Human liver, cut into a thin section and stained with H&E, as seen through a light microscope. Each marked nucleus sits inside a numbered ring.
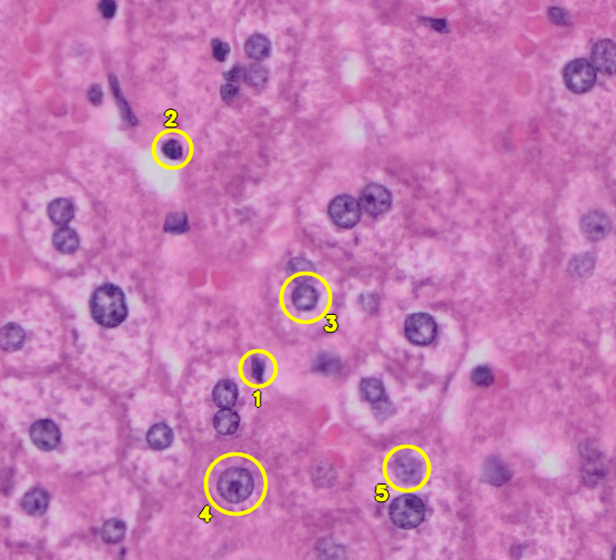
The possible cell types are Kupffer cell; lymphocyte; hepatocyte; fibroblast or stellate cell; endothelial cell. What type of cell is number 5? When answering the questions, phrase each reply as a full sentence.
Identified as a hepatocyte is the cell bearing the number 5.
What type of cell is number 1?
The cell carrying label 1 is identified as an endothelial cell.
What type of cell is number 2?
The numeral 2 marks a lymphocyte in this section.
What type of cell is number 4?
Identified by the number 4, the cell is a hepatocyte.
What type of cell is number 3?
Cell 3 in the field of view is a hepatocyte.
